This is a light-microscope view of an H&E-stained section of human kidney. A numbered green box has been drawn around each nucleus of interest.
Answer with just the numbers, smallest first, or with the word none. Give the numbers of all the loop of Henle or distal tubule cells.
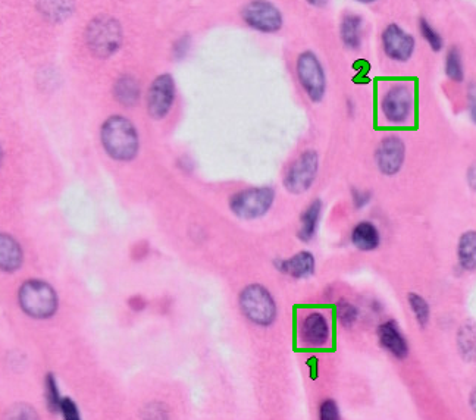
2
